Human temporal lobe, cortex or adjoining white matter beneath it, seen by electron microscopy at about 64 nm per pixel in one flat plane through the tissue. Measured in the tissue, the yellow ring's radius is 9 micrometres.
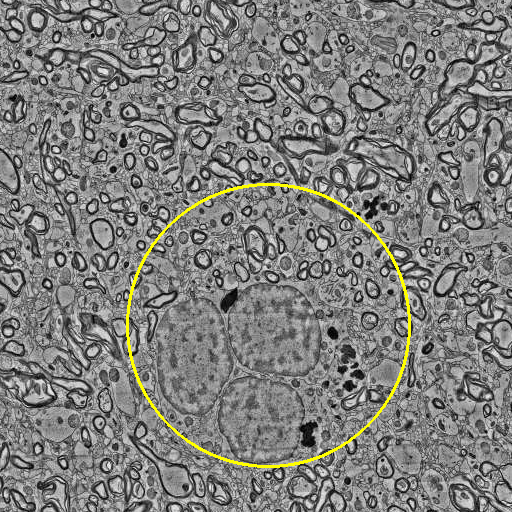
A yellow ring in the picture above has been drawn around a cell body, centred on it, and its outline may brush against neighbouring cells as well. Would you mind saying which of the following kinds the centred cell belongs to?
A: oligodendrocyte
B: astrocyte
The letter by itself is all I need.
A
